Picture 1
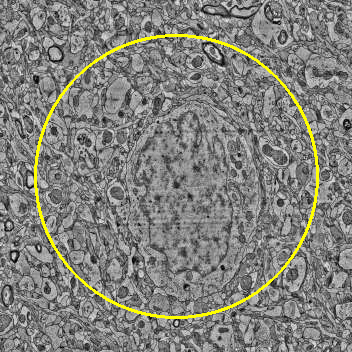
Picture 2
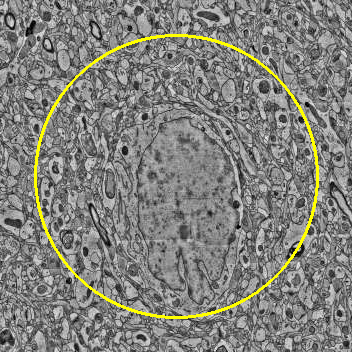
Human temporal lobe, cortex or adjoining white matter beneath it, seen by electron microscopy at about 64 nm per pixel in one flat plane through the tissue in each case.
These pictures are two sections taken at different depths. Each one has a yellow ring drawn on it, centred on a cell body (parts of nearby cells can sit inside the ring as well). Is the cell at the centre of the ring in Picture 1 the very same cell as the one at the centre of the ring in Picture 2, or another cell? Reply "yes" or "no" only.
no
